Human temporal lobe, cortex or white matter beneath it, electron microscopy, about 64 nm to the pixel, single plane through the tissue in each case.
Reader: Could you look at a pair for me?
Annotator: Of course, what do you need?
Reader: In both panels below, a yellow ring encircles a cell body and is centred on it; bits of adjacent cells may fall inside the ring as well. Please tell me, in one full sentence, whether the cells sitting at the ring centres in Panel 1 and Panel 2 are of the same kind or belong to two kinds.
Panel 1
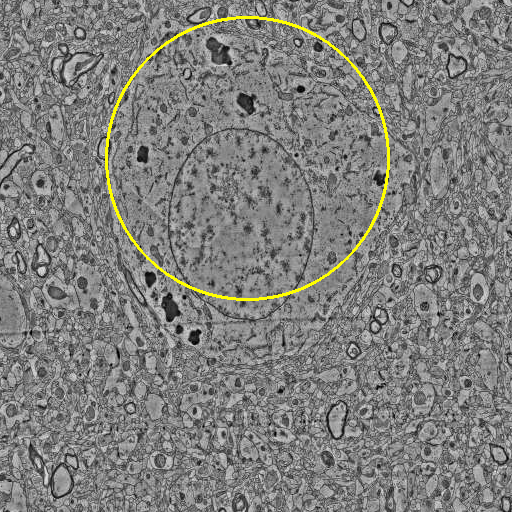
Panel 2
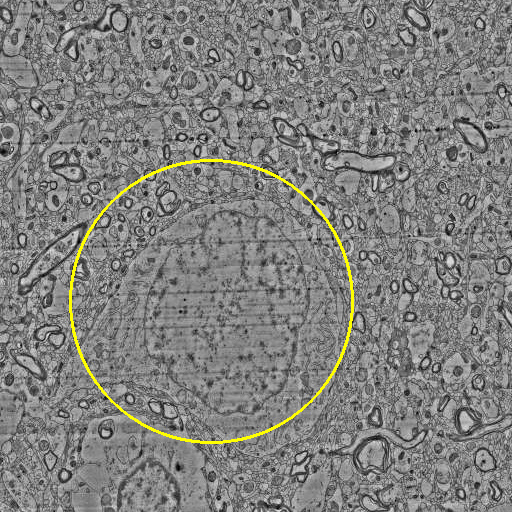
The cell at the ring's centre in Panel 1 and the one in Panel 2 belong to two kinds.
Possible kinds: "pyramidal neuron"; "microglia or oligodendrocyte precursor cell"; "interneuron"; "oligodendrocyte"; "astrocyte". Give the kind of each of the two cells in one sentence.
The cell in the second picture is an interneuron, and that in the first is a pyramidal neuron.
